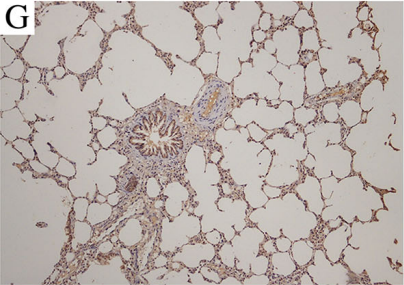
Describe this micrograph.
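Lung tissue at moderate magnification, with many rounded alveolar air spaces bounded by thin septa. Near the centre lies a small airway whose lining epithelium is thrown into folds, accompanied by a blood vessel with a thicker wall, both set in a cuff of connective tissue. Brown staining is widespread: it outlines the alveolar septa, colours the airway epithelium and the cells around the vessel, and is strongest along some septal edges. Blue nuclei are scattered throughout the septa. The alveolar walls appear thin and the air spaces open, without obvious exudate.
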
